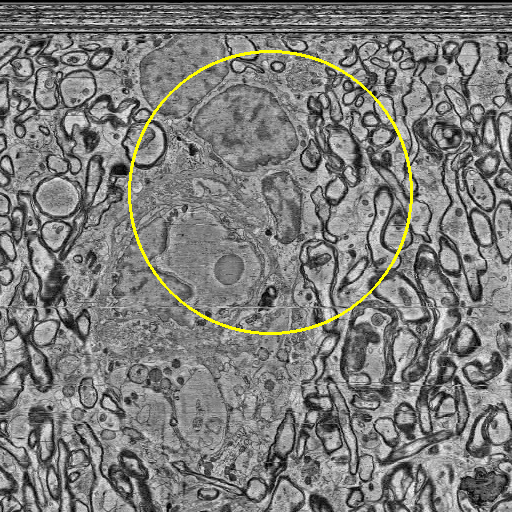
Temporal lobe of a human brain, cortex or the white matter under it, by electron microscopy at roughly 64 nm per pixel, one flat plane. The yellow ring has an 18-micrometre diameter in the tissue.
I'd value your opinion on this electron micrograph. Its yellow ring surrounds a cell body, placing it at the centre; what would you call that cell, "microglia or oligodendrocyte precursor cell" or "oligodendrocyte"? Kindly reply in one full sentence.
It is a microglial cell or oligodendrocyte precursor cell that sits centred within the yellow ring in this micrograph.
